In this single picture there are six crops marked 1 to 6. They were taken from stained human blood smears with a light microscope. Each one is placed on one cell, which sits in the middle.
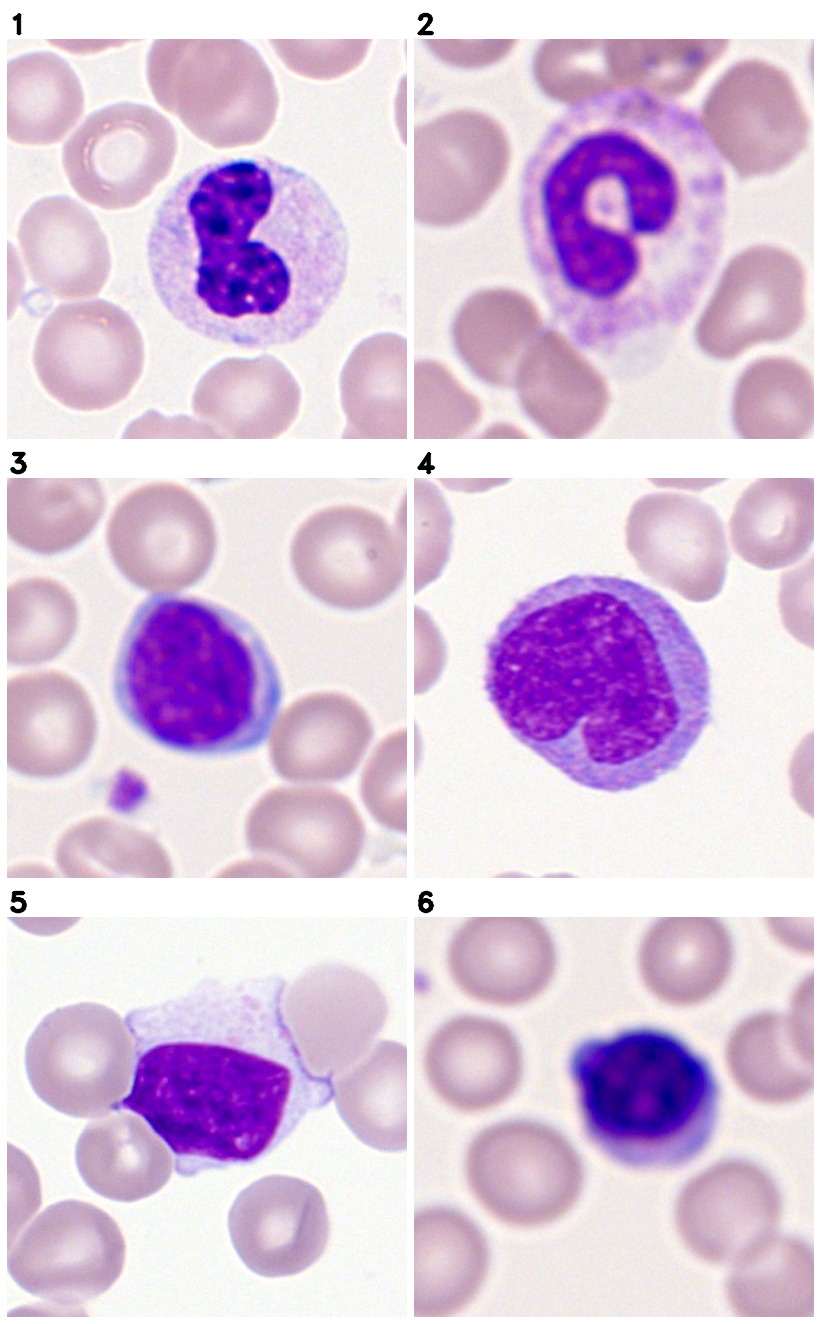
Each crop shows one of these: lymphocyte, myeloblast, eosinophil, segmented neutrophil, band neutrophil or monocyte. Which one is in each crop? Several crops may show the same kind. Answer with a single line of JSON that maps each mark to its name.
{"1": "band neutrophil", "2": "band neutrophil", "3": "lymphocyte", "4": "monocyte", "5": "lymphocyte", "6": "lymphocyte"}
